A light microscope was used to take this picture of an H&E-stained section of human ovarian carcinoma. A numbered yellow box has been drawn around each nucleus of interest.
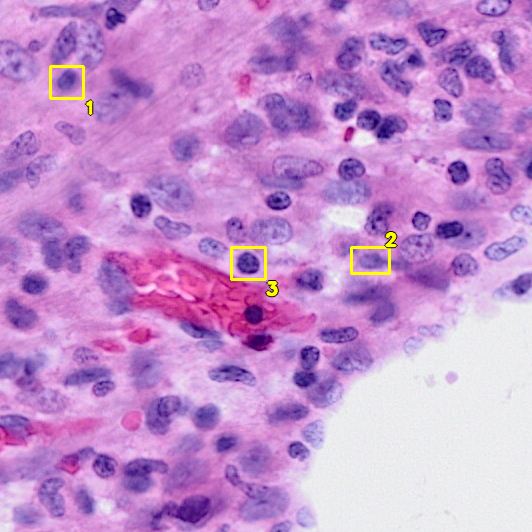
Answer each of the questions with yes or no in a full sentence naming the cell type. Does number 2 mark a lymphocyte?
No, the cell indicated by 2 is a macrophage or monocyte instead of a lymphocyte.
